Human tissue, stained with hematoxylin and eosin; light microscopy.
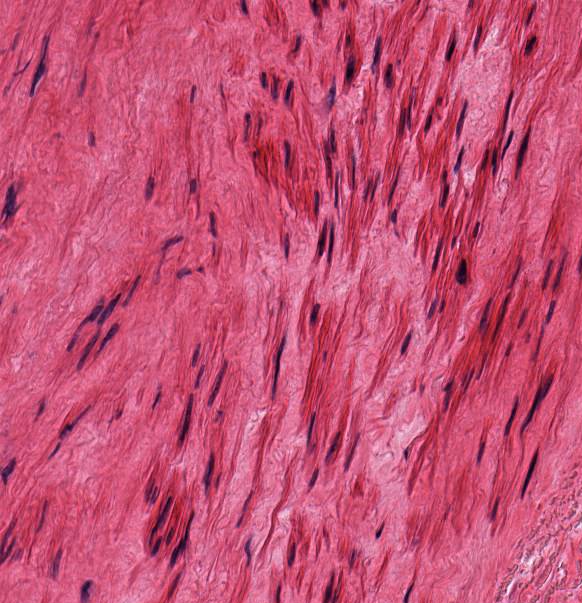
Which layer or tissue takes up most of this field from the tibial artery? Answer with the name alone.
tunica media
